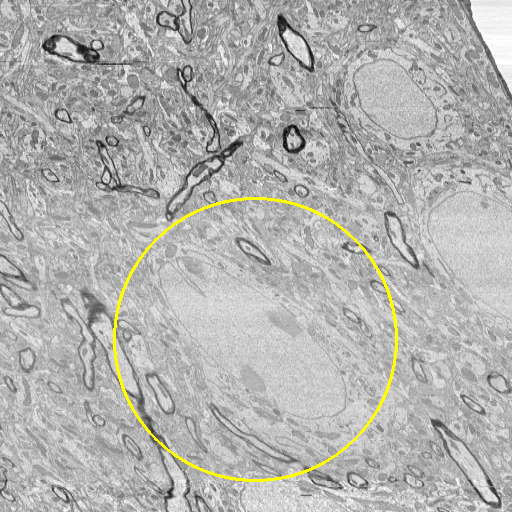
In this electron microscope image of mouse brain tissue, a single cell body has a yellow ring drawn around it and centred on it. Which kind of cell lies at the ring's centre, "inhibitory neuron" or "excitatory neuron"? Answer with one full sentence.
It is an excitatory neuron whose cell body lies at the centre of the yellow ring here.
